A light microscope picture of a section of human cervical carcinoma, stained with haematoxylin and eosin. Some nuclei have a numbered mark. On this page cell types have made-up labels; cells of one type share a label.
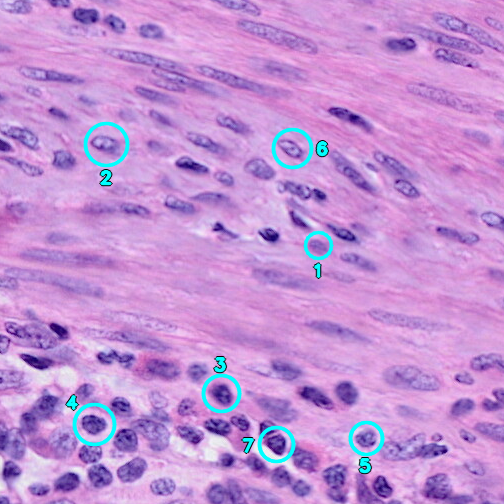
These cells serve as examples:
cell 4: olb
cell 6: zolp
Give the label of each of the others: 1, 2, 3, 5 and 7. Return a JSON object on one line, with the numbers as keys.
{"1": "zolp", "2": "zolp", "3": "olb", "5": "olb", "7": "olb"}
